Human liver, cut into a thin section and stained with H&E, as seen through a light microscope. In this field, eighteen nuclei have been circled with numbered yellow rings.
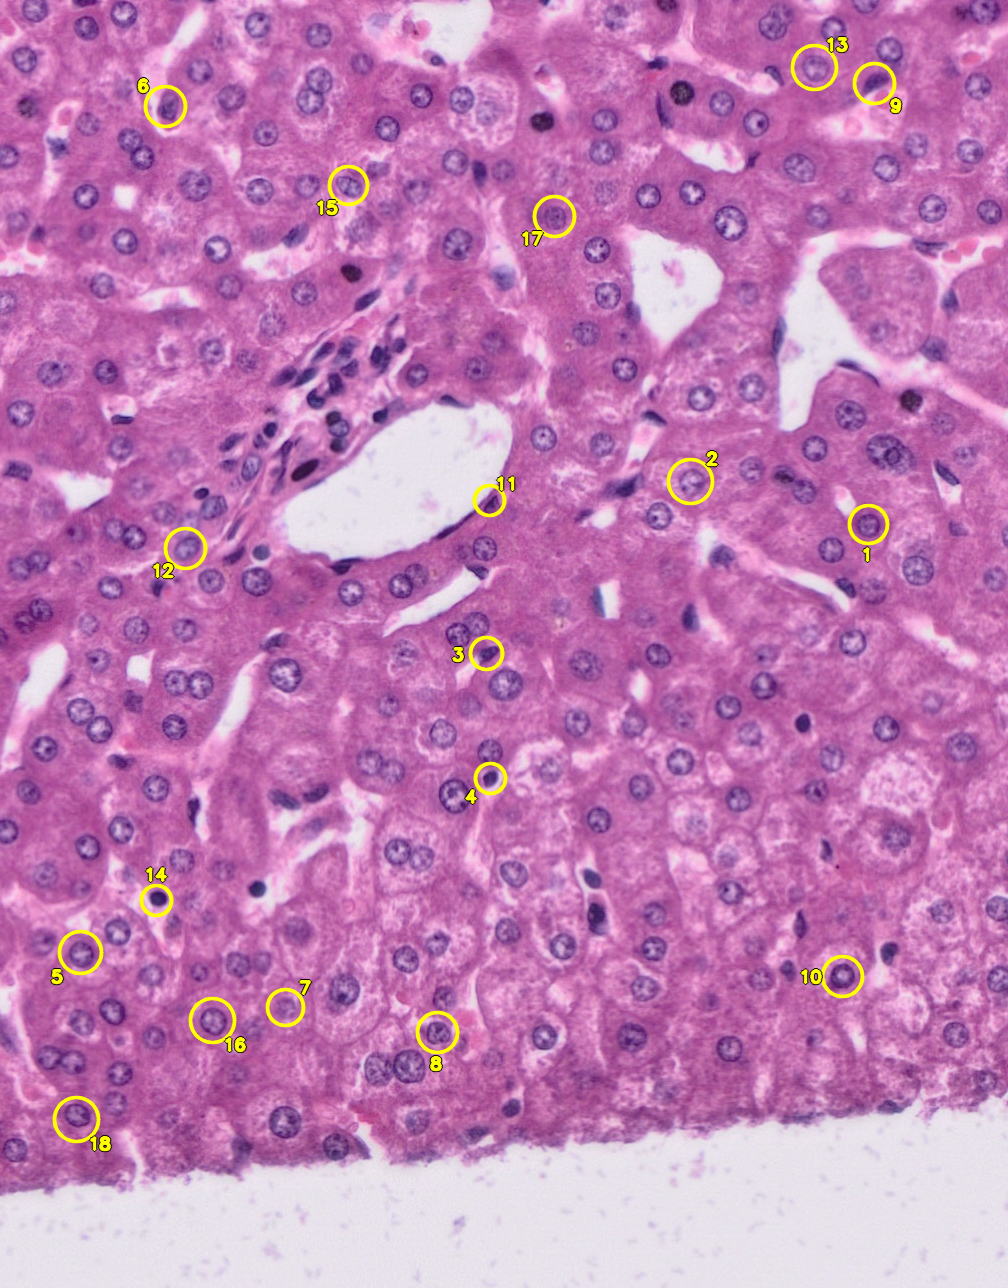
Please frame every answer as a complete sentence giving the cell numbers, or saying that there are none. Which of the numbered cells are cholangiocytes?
The cells which carry the numbers 12 and 15 are cholangiocytes.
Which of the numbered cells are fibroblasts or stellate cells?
The cells bearing the numbers 3, 9 and 11 are fibroblasts or stellate cells.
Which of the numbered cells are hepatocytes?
Identified as hepatocytes are the cells numbered 1, 2, 5, 7, 8, 10, 13, 16, 17 and 18.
